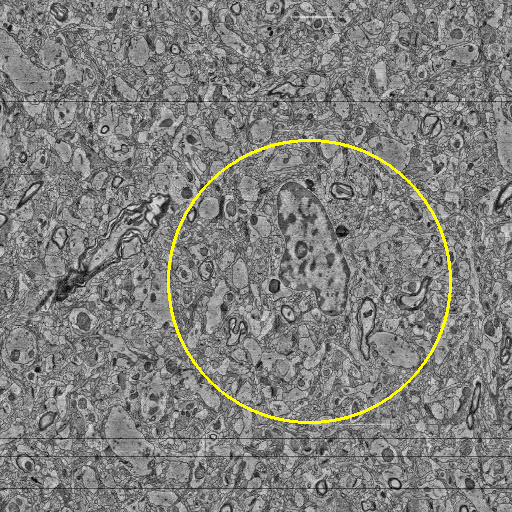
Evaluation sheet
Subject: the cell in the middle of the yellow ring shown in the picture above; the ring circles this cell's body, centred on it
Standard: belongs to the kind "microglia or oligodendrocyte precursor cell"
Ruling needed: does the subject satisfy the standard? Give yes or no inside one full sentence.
Yes, the cell in the middle of the ring in the picture above belongs to the stated kind.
